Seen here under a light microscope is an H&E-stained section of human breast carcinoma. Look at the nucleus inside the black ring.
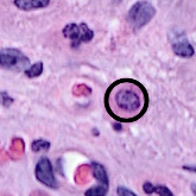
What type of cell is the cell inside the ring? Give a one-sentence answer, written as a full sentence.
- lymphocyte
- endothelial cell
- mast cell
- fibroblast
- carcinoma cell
As to its cell type, the cell inside the ring is a mast cell.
